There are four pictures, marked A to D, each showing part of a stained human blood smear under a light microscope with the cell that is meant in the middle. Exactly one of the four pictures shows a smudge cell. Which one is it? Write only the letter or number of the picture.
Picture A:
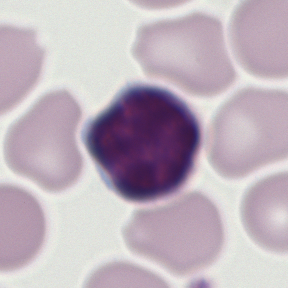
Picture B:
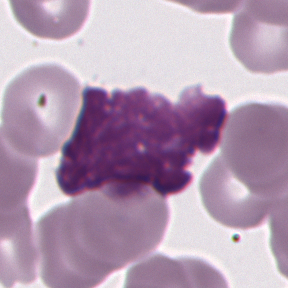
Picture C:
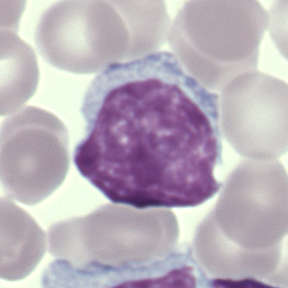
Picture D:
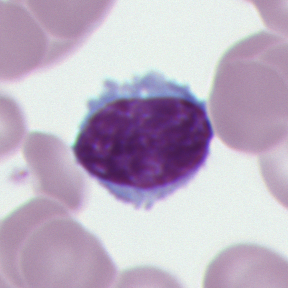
B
